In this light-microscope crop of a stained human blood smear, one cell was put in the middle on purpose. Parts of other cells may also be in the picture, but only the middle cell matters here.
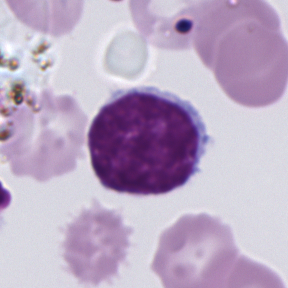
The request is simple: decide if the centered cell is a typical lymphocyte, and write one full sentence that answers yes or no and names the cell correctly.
Yes, the cell in the middle has the identity of a typical lymphocyte.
